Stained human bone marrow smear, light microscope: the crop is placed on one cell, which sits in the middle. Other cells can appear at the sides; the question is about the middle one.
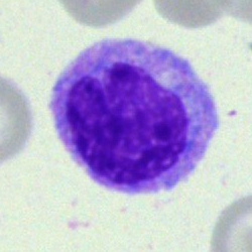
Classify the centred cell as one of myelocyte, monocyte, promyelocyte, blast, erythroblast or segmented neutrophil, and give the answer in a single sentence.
Framed in the middle of the crop is a monocyte.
